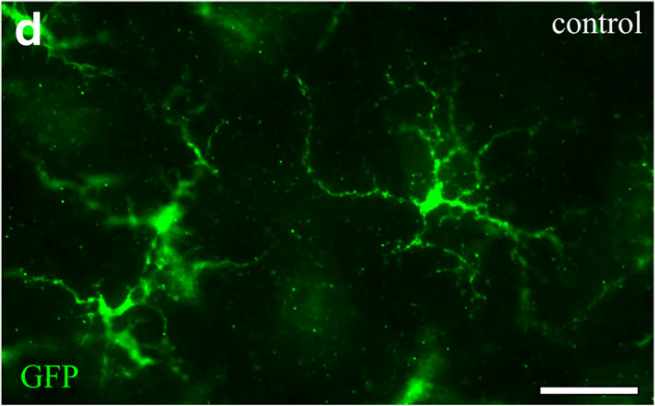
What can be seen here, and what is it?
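The cells are spaced apart, their fine branches covering the territory between them without the bodies touching. Nothing here is rounded or swollen.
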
